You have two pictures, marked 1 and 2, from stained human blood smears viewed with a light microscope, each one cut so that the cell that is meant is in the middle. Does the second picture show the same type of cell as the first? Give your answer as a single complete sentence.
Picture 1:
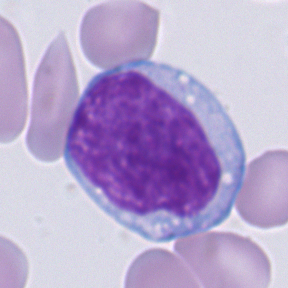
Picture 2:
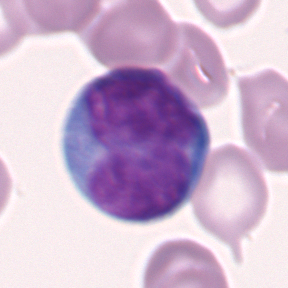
Yes, the two pictures both show myeloblasts.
